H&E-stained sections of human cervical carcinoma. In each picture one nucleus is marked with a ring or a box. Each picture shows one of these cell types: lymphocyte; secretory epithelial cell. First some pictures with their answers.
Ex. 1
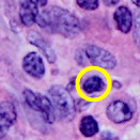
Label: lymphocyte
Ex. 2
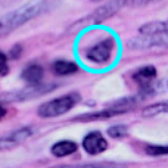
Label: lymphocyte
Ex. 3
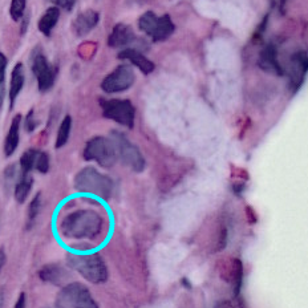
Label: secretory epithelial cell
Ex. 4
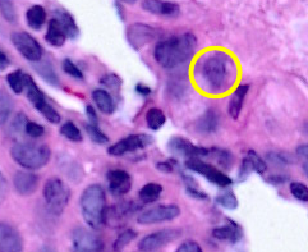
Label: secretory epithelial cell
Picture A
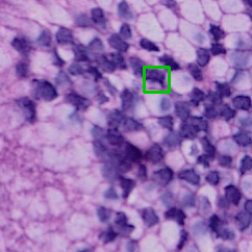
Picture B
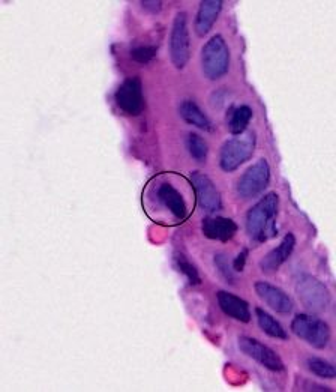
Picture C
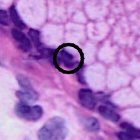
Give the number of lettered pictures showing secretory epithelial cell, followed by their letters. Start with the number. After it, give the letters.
3: A, B, C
